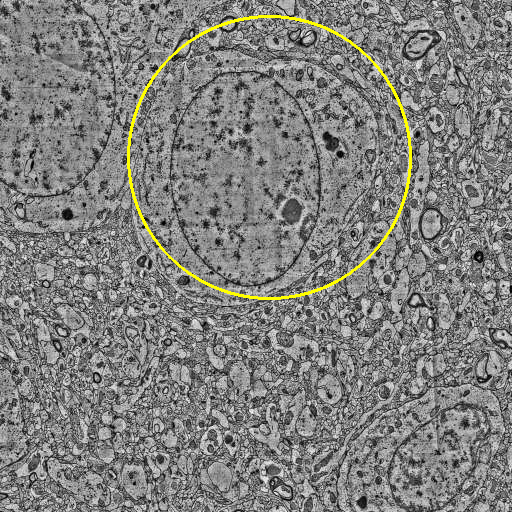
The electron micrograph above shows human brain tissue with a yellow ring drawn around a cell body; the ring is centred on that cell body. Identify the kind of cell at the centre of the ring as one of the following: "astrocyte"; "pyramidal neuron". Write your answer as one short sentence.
The cell at the centre of the ring is a pyramidal neuron.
